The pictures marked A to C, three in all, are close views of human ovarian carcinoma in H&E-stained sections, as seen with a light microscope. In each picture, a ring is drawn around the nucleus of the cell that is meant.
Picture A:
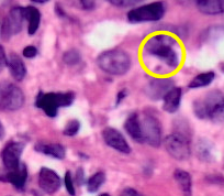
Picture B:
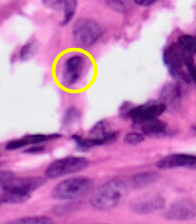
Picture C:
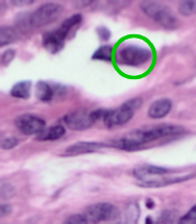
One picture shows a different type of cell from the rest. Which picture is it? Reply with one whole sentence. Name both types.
Picture B is the odd one out: it shows a “macrophage or monocyte”, while the others show carcinoma cells.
